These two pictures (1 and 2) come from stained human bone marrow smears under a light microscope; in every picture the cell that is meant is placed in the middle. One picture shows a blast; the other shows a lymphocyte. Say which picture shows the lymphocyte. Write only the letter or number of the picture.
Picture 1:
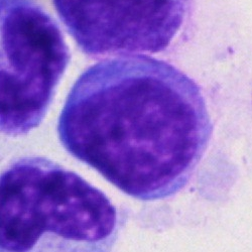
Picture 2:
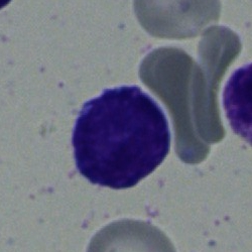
2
